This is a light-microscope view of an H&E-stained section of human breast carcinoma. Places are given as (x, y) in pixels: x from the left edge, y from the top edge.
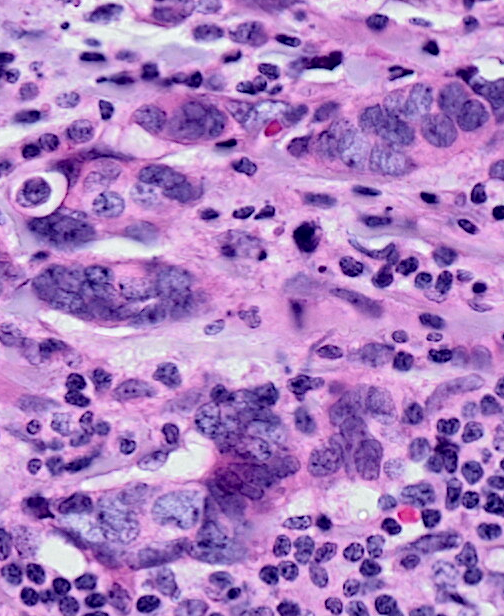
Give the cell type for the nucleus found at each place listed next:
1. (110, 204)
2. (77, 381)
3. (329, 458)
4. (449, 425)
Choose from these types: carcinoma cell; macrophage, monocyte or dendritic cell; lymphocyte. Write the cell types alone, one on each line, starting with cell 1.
carcinoma cell
lymphocyte
carcinoma cell
lymphocyte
